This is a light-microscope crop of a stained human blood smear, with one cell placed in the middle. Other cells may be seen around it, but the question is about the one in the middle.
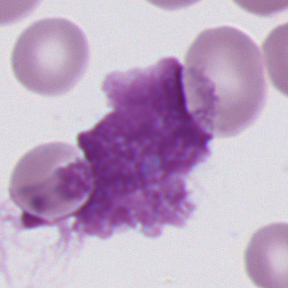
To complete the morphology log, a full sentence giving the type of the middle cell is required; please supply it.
In the centre of this crop there is a smudge cell.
